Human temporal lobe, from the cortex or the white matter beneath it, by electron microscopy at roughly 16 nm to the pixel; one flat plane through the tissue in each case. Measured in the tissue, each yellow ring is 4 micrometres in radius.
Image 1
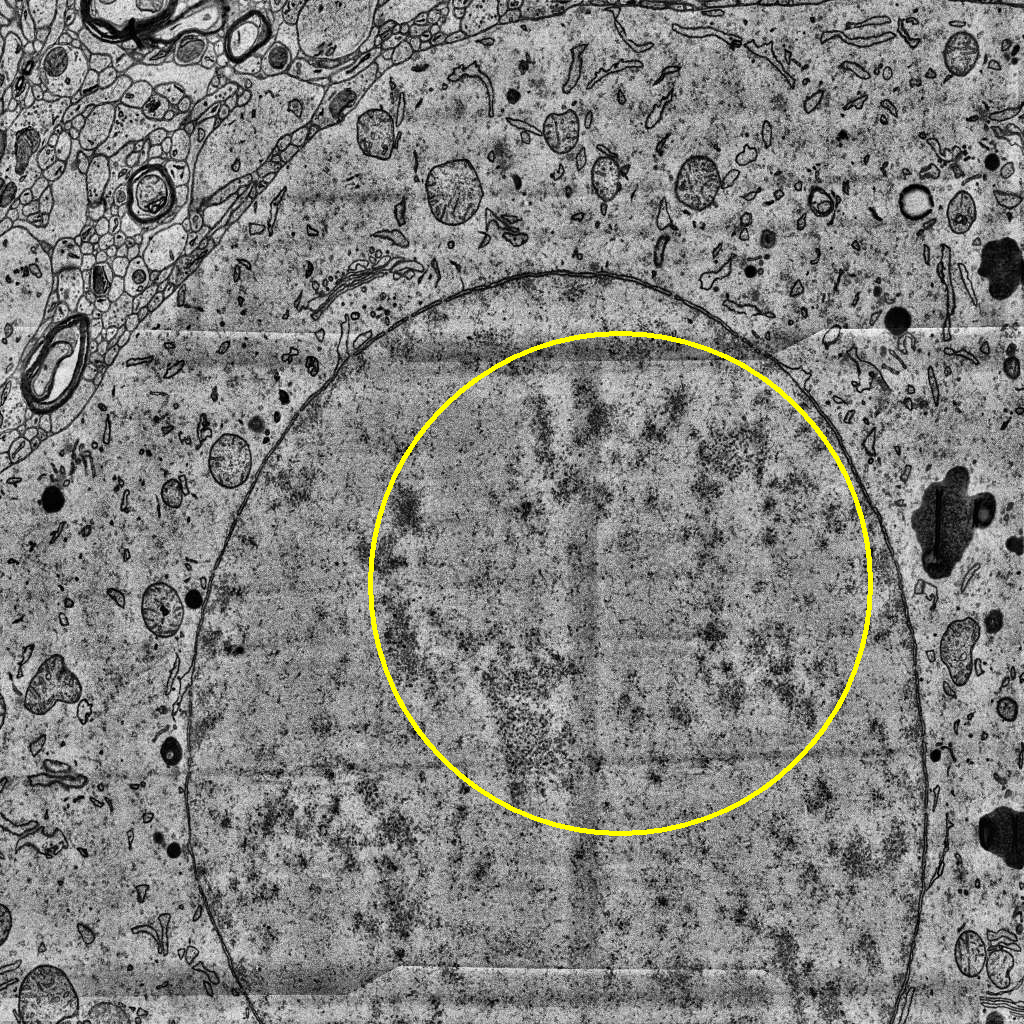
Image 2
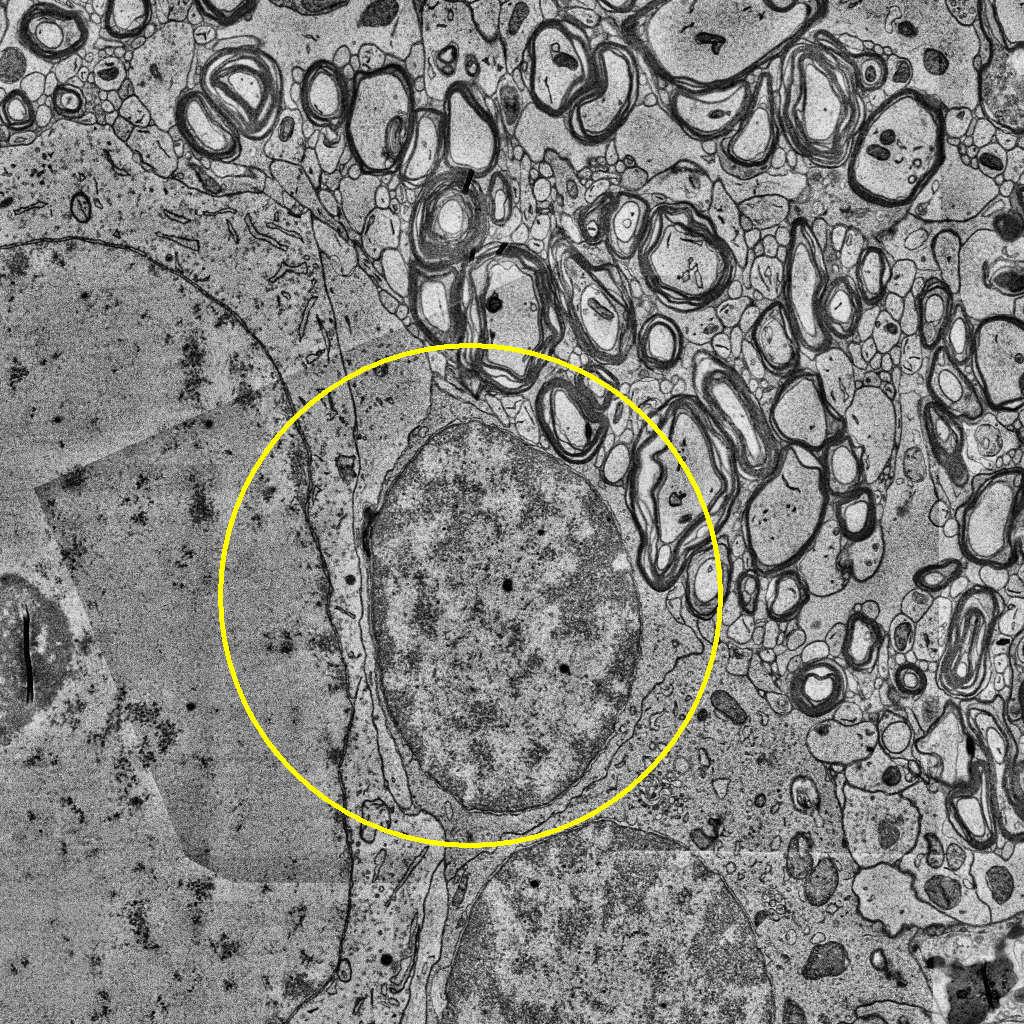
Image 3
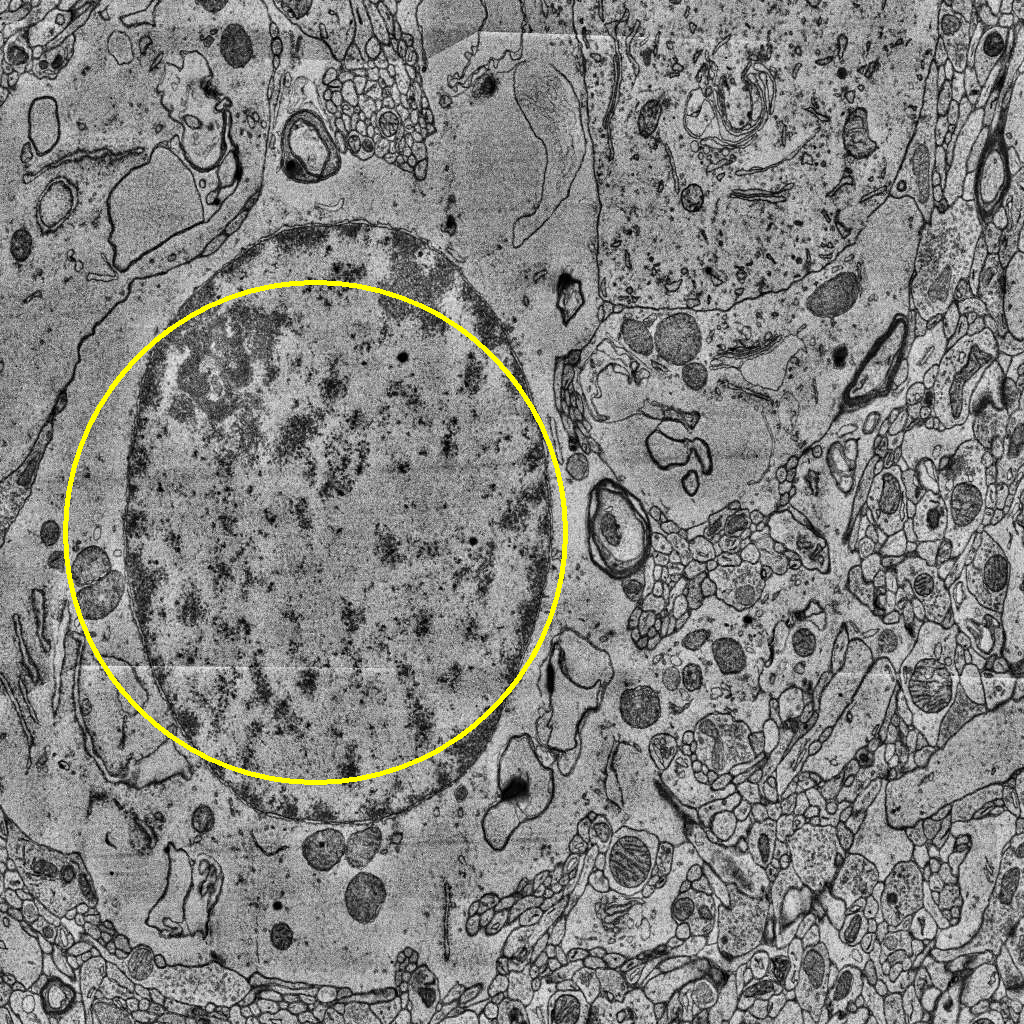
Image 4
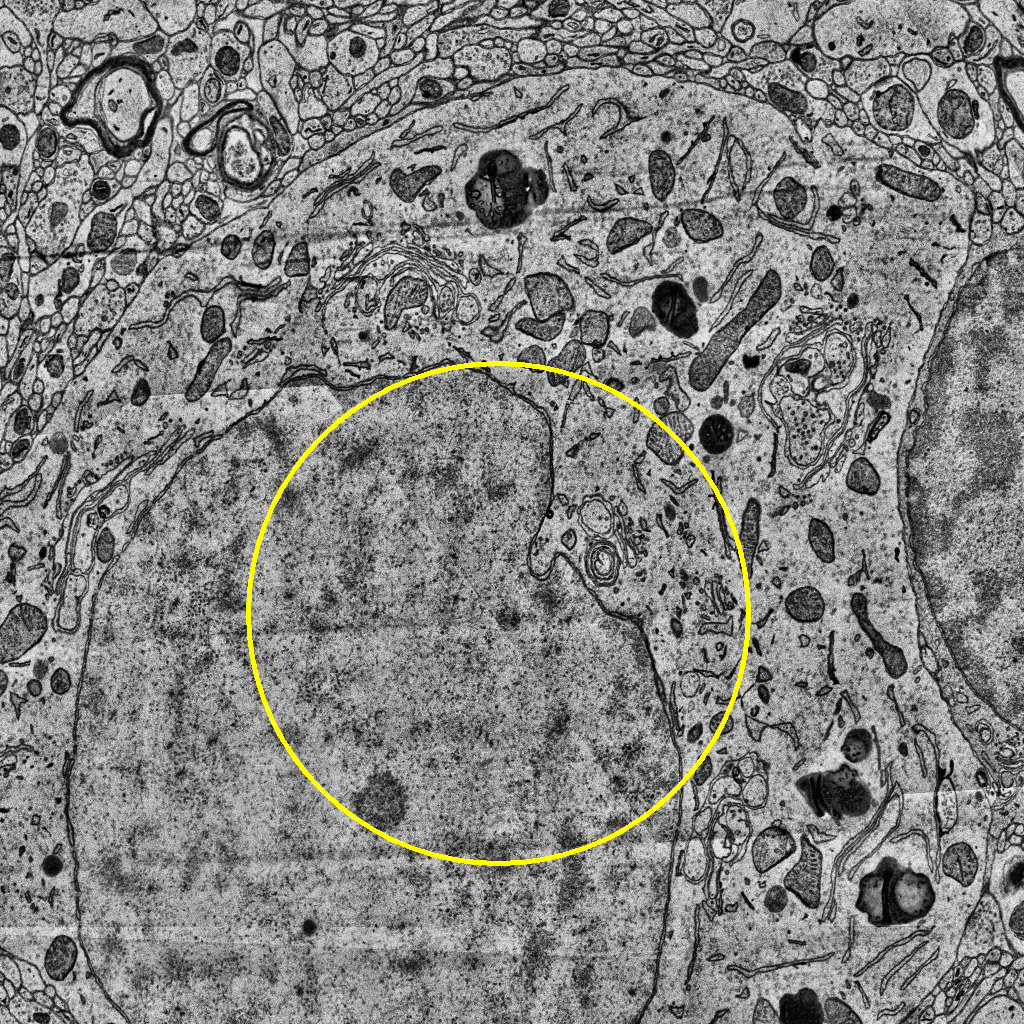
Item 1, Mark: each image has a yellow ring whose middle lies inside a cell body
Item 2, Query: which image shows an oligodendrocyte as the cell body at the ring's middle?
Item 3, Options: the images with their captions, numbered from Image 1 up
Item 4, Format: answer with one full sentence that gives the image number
My answer is image 2, where the cell lying under the ring's middle fits.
